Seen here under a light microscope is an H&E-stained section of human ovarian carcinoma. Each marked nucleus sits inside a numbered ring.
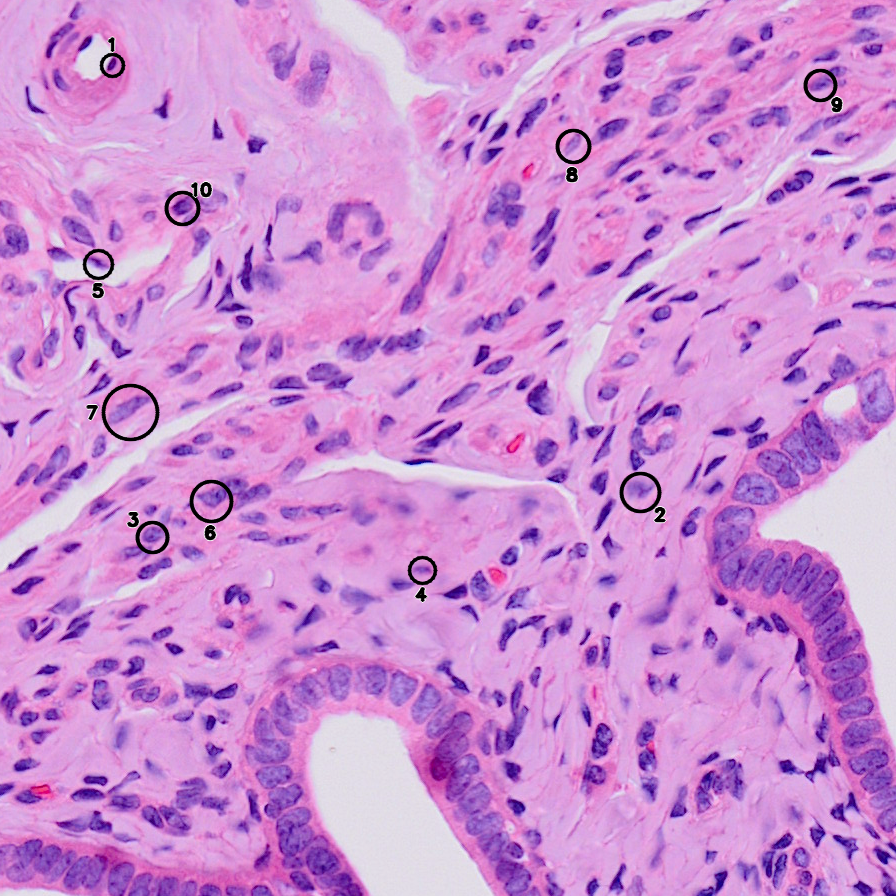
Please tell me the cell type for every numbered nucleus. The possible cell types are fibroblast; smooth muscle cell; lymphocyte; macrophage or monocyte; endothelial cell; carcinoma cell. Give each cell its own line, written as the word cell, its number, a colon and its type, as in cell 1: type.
cell 1: endothelial cell
cell 2: fibroblast
cell 3: smooth muscle cell
cell 4: smooth muscle cell
cell 5: endothelial cell
cell 6: smooth muscle cell
cell 7: smooth muscle cell
cell 8: smooth muscle cell
cell 9: smooth muscle cell
cell 10: endothelial cell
